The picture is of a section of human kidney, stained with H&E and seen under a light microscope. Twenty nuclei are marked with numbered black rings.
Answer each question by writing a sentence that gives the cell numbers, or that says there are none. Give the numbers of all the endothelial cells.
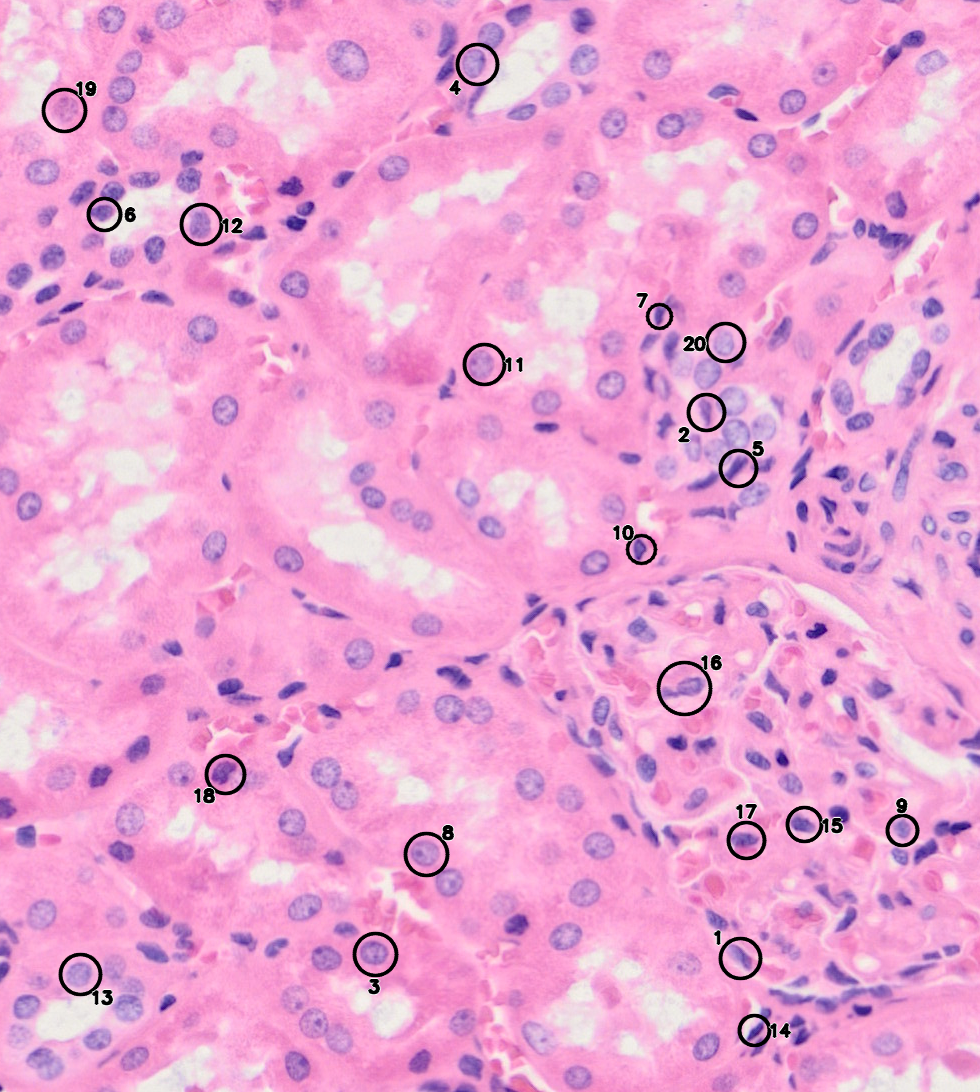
The cells numbered 1, 7, 9, 10, 14, 15, 16 and 17 fall into the category of endothelial cells.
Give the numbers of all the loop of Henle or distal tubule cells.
The cells marked 6 and 12 in the section are loop of Henle or distal tubule cells.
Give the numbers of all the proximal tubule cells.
So, the cells with numbers 3, 8, 11, 18 and 19 are proximal tubule cells.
